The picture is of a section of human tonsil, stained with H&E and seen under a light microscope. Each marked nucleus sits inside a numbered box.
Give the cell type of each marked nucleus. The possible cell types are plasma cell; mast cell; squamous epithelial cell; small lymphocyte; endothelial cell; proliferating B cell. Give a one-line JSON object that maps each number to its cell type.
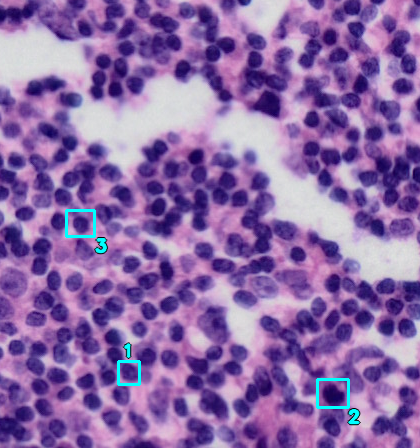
{"1": "small lymphocyte", "2": "proliferating B cell", "3": "small lymphocyte"}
